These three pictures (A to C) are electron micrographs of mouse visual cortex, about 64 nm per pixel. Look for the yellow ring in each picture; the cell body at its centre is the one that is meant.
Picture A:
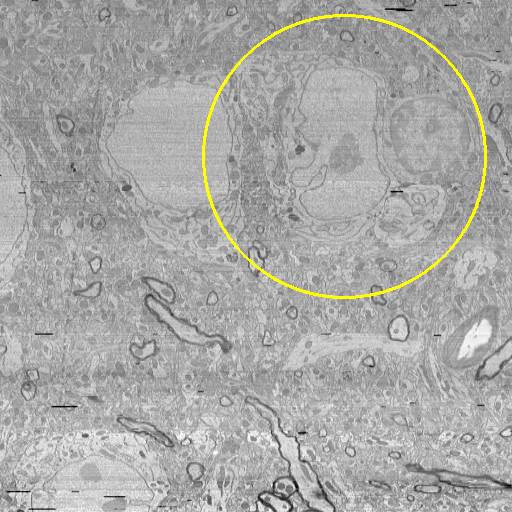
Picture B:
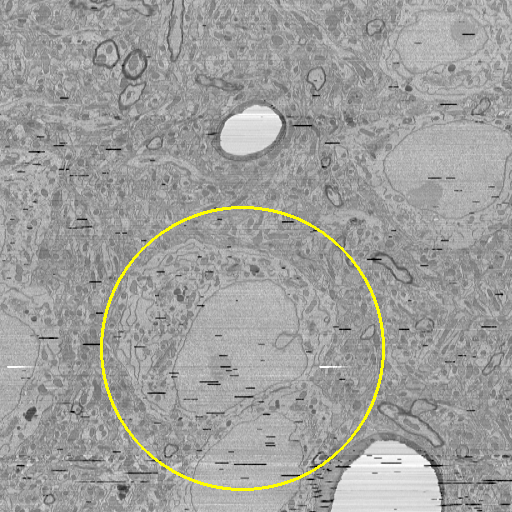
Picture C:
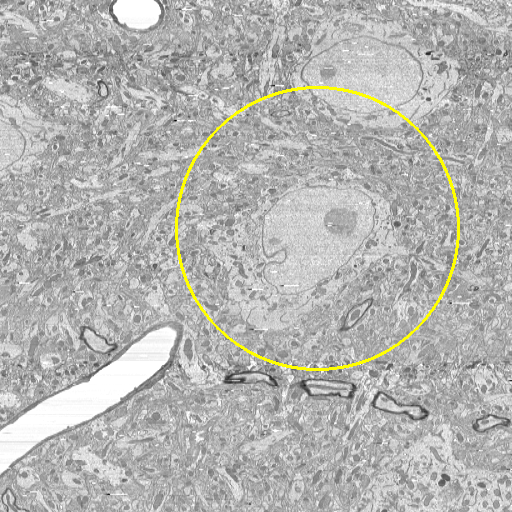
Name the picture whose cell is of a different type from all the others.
Unlike the rest, which show inhibitory neurons, picture C shows an excitatory neuron.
